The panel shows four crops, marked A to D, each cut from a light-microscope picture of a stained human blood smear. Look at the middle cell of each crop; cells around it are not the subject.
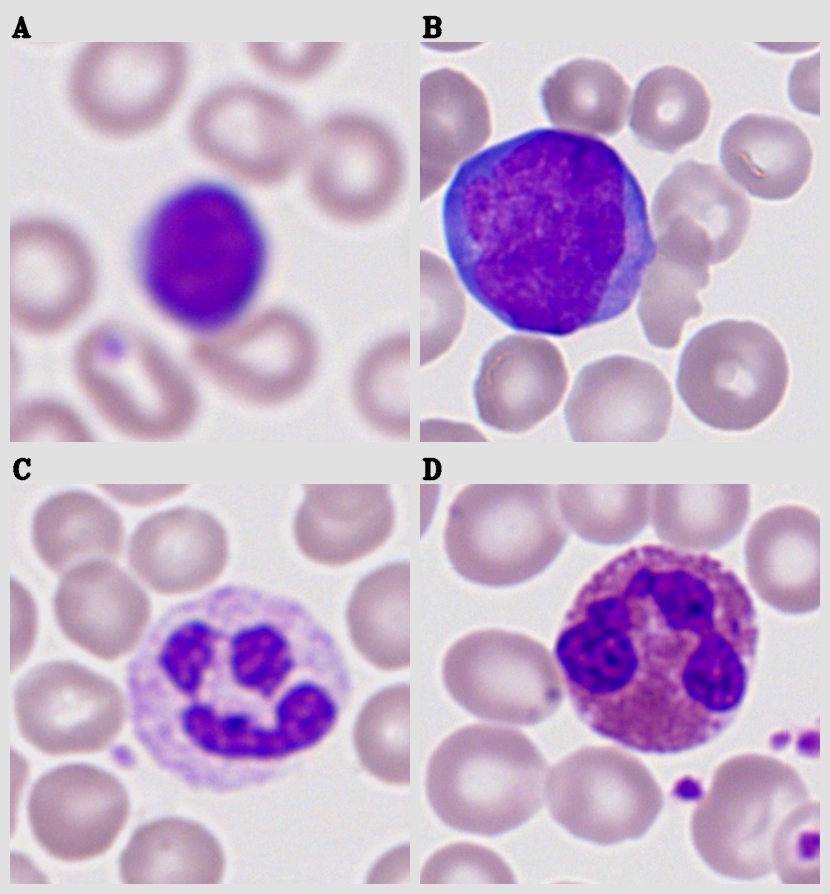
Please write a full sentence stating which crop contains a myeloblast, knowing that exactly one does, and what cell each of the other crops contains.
The cell centred in crop B is a myeloblast; by contrast, crop A is a lymphocyte, crop C is a segmented neutrophil and crop D is an eosinophil.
